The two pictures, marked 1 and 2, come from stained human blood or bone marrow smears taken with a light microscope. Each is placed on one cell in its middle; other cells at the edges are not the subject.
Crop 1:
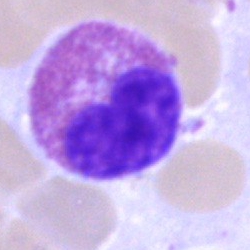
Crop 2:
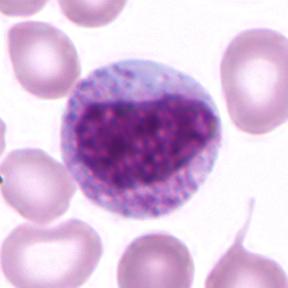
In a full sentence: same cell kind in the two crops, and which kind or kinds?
No, crop 1 and crop 2 contain, respectively, an eosinophil and a metamyelocyte.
